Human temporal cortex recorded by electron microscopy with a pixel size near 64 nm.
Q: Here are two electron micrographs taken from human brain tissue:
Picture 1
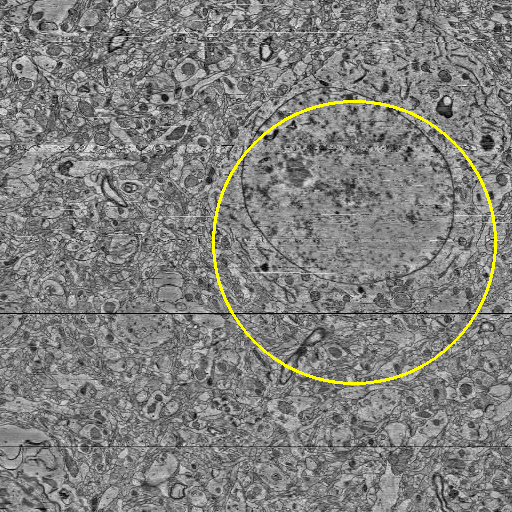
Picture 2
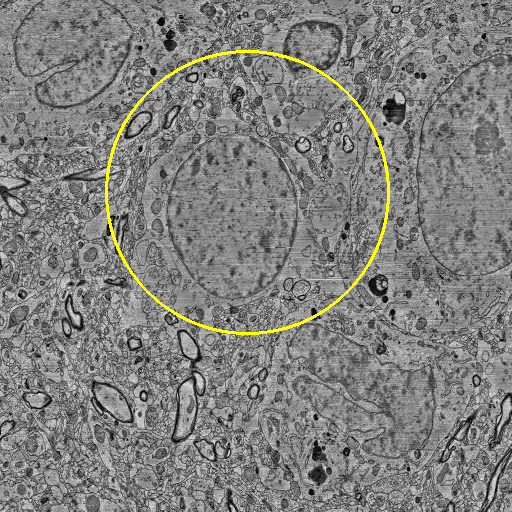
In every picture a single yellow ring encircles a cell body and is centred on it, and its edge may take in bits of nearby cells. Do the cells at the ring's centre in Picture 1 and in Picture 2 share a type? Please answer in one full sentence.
No, the cells at the ring's centre in Picture 1 and Picture 2 are of two types.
